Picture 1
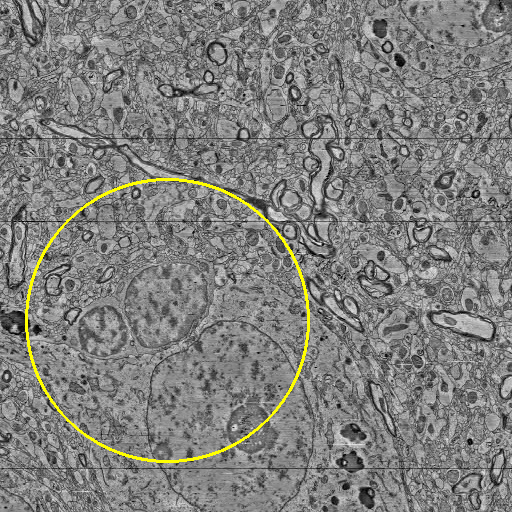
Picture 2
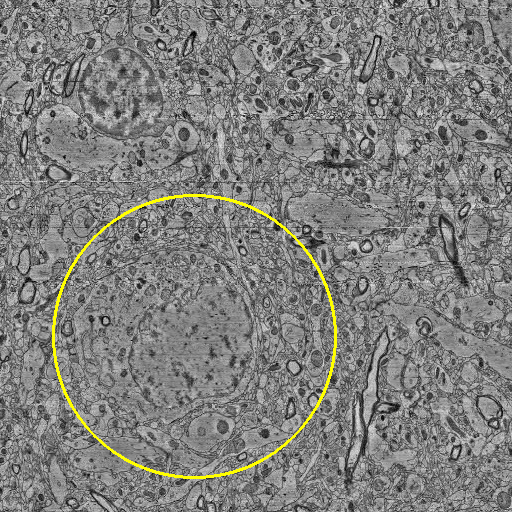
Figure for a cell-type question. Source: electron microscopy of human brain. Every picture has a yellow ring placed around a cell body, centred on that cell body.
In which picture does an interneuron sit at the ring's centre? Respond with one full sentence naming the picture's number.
The cell in the middle of the ring in picture 2 is the one sought.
